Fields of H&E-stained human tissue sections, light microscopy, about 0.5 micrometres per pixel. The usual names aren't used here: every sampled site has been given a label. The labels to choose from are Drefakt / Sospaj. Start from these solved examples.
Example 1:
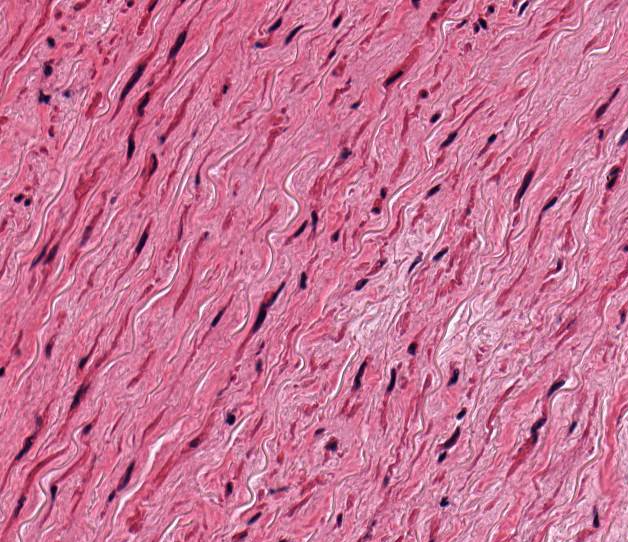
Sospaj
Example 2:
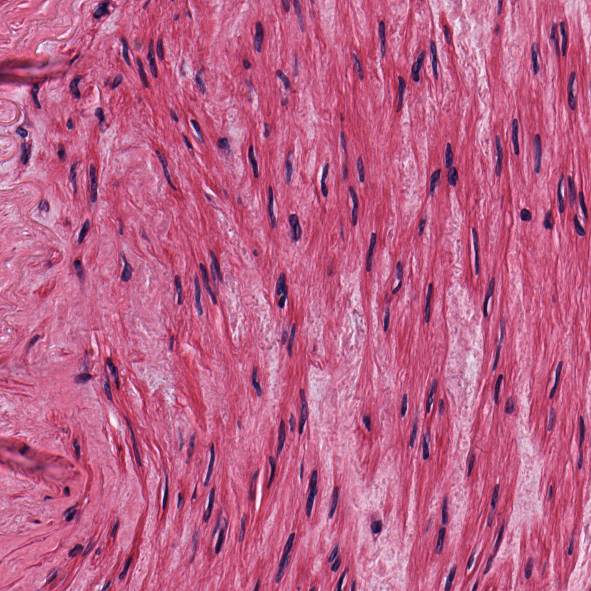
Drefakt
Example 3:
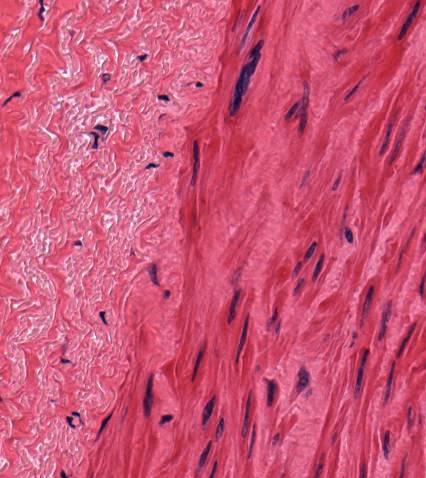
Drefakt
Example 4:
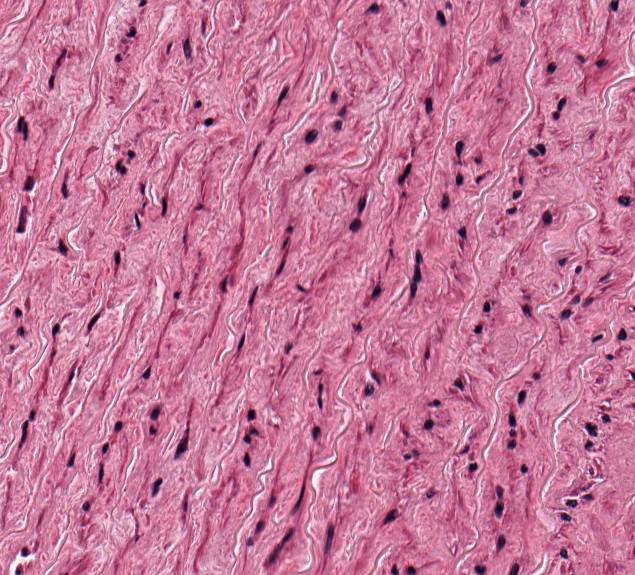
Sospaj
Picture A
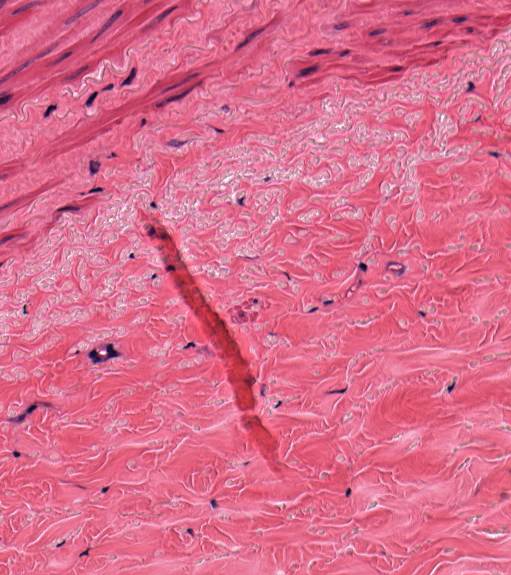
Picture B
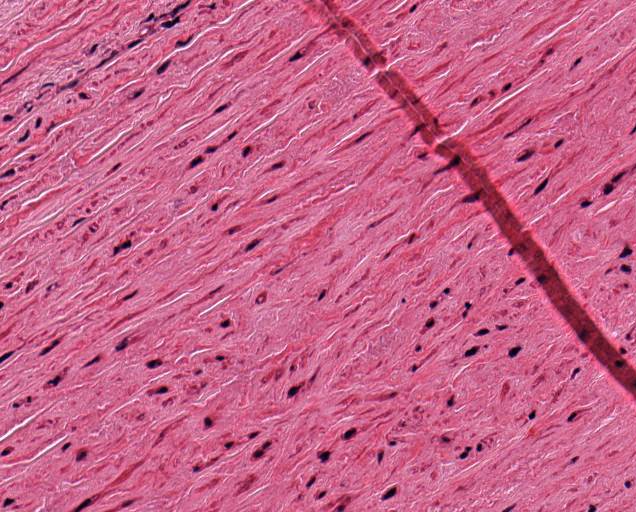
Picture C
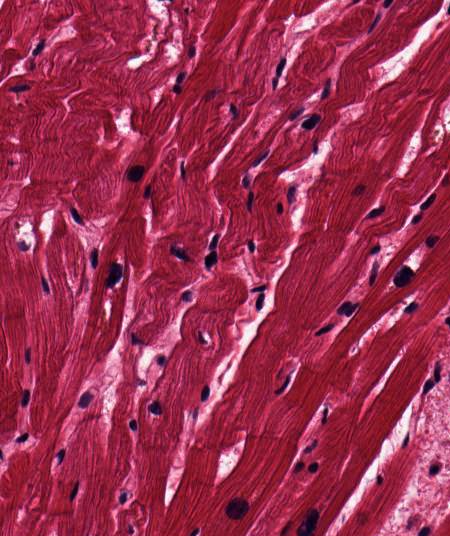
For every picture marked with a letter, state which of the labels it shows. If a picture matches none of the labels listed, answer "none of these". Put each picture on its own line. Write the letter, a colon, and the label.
A: Drefakt
B: Sospaj
C: none of these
